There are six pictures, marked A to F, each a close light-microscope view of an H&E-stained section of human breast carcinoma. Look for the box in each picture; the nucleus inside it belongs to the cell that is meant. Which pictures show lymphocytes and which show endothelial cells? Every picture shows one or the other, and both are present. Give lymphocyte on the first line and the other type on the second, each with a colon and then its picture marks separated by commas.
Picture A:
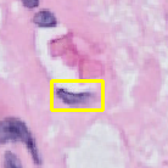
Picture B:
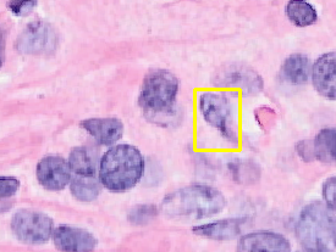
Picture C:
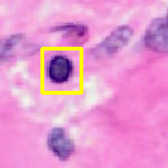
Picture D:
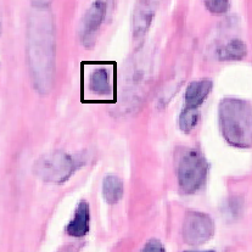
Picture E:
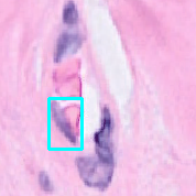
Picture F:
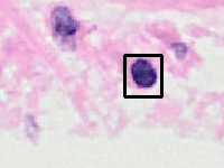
lymphocyte: C, D, F
endothelial cell: A, B, E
